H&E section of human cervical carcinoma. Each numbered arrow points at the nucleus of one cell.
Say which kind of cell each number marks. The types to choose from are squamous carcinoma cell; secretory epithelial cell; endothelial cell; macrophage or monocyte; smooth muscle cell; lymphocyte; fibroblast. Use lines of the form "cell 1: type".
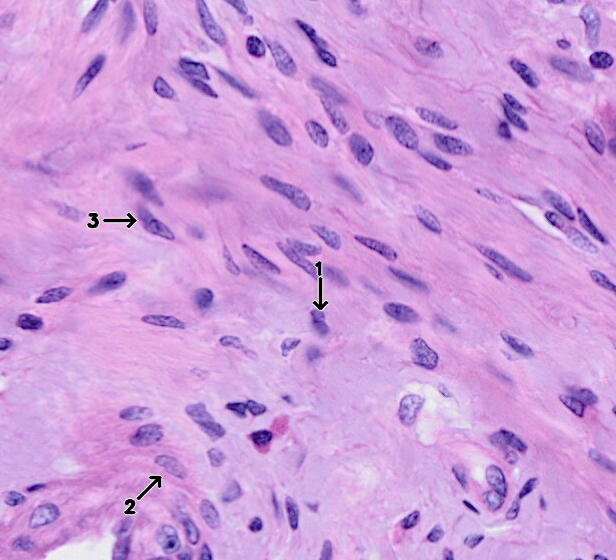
cell 1: fibroblast
cell 2: smooth muscle cell
cell 3: fibroblast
